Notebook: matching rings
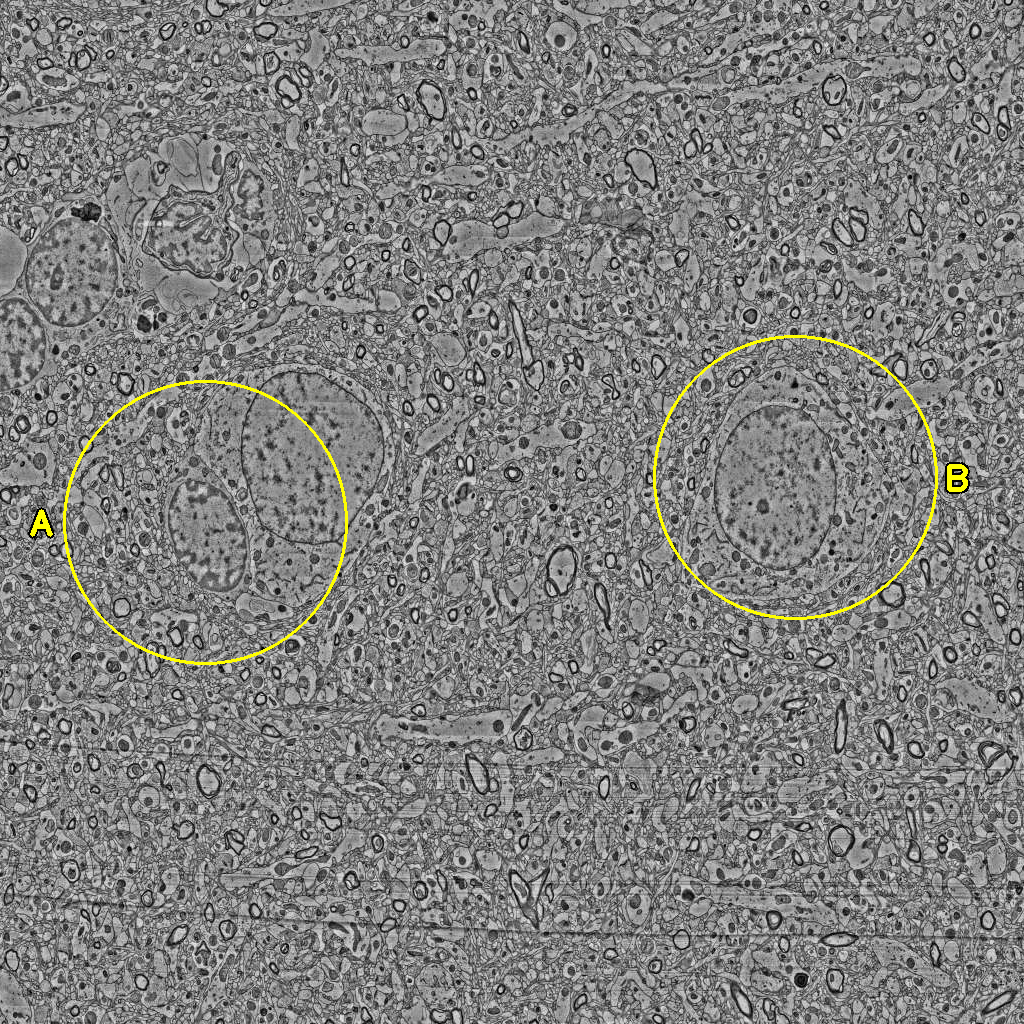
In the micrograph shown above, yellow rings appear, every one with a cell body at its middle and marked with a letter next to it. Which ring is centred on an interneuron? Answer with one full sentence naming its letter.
A cell of that kind lies at the centre of the ring lettered B.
